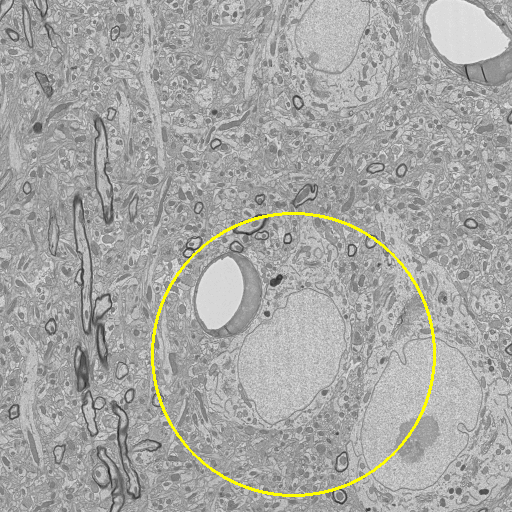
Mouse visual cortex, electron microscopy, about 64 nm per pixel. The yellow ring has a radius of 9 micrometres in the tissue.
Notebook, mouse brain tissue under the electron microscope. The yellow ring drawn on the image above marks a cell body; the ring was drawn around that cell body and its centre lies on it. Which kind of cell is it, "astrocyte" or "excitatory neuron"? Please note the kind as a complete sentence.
The marked cell body is that of an excitatory neuron.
